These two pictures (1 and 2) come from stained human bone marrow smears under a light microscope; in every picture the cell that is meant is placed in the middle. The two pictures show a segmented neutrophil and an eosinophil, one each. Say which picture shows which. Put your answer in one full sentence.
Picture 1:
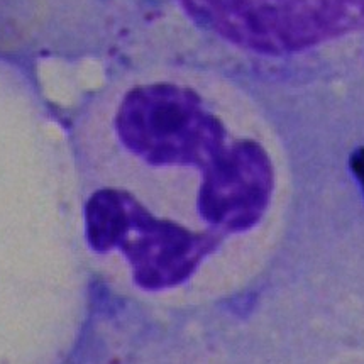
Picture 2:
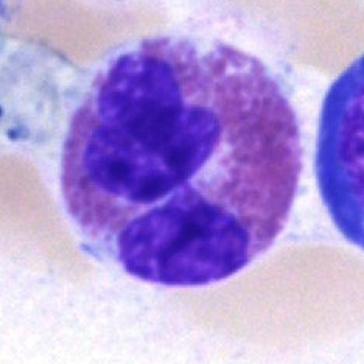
Picture 1 shows a segmented neutrophil and picture 2 shows an eosinophil.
